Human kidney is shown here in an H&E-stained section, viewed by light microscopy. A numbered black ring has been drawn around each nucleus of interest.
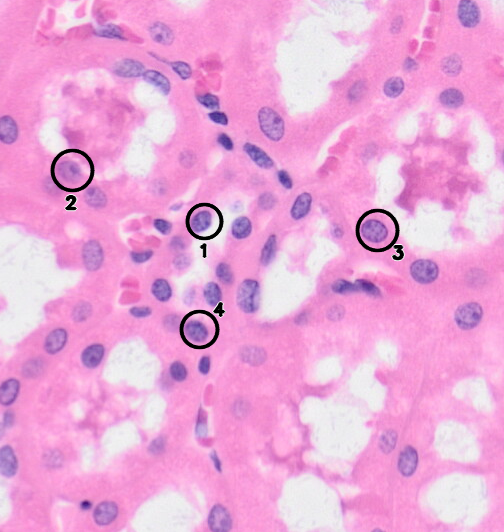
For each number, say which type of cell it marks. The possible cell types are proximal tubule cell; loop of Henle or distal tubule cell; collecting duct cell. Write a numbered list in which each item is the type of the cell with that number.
1. loop of Henle or distal tubule cell
2. proximal tubule cell
3. proximal tubule cell
4. loop of Henle or distal tubule cell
